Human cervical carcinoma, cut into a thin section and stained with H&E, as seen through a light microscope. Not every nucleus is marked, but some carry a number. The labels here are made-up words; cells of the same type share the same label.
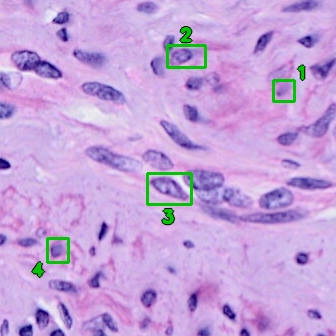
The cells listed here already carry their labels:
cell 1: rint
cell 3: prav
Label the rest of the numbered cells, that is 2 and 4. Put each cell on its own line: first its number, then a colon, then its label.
2: rint
4: rint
